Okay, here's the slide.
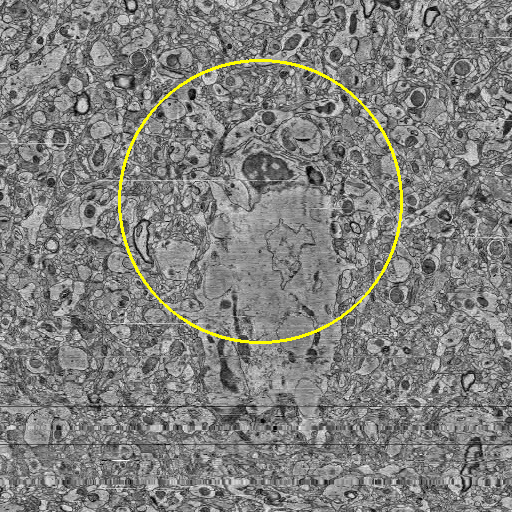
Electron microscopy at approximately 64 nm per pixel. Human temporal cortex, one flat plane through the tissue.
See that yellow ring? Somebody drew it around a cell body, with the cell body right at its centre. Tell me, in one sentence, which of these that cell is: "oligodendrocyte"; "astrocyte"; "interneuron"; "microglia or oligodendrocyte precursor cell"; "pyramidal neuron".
The cell in the middle of the ring is a microglial cell or oligodendrocyte precursor cell.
